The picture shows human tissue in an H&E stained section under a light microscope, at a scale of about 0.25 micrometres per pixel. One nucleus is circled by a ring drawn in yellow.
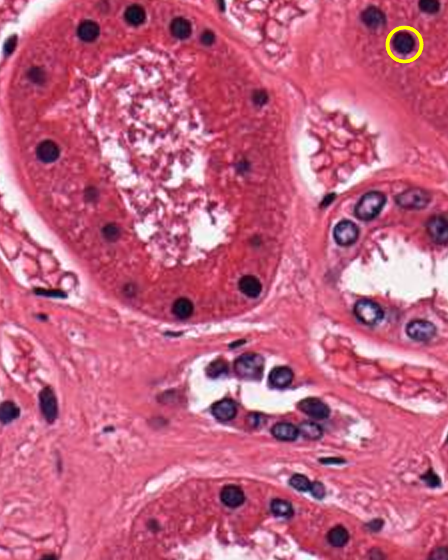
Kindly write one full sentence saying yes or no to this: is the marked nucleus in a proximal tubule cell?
Yes, the marked nucleus forms part of a proximal tubule cell.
